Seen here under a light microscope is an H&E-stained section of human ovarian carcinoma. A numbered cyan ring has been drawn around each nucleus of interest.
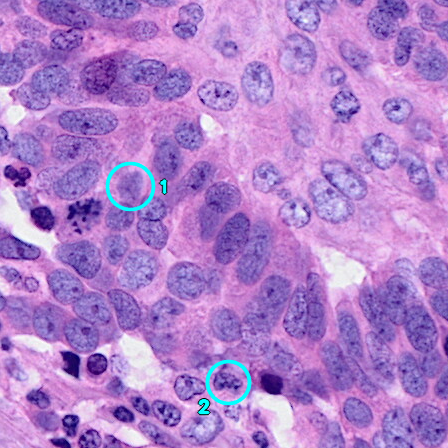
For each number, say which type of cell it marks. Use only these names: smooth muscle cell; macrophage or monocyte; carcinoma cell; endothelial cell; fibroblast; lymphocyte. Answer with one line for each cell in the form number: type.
1: carcinoma cell
2: macrophage or monocyte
